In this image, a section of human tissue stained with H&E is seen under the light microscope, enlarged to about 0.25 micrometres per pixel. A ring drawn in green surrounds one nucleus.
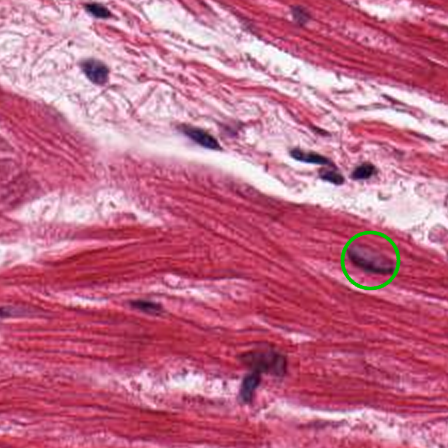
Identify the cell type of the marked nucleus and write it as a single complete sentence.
The marked nucleus belongs, in this picture, to a cardiomyocyte.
